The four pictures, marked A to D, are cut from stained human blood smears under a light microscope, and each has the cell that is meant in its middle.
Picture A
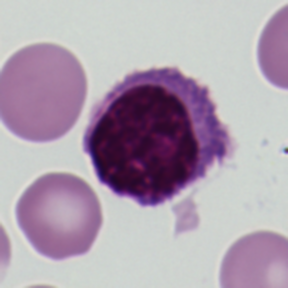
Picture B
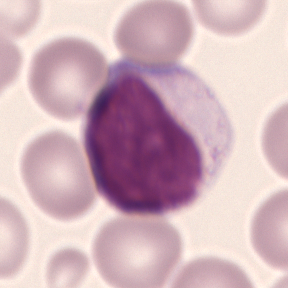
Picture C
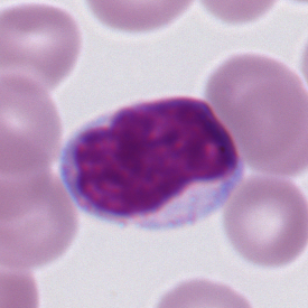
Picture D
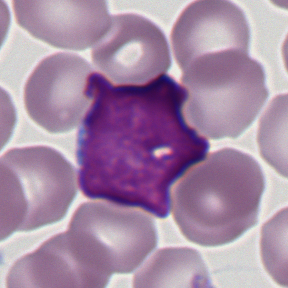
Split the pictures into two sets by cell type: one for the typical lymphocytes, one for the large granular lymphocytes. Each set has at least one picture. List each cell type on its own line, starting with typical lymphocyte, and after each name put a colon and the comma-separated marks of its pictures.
typical lymphocyte: A, D
large granular lymphocyte: B, C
